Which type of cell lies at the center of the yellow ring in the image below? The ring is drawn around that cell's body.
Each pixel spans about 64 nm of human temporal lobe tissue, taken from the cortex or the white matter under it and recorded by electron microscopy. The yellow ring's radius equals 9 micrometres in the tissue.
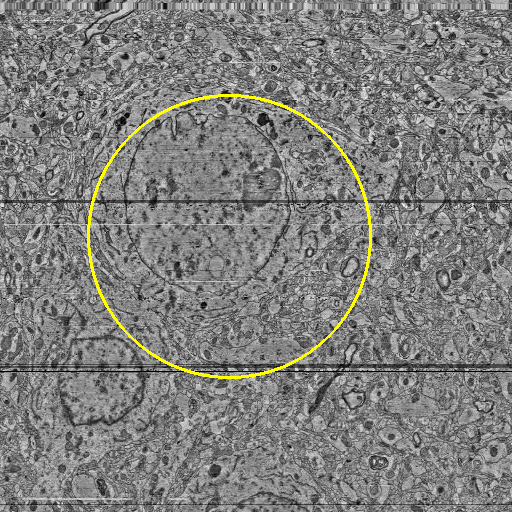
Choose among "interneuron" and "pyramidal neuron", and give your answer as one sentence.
The cell body at the center belongs to a pyramidal neuron.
